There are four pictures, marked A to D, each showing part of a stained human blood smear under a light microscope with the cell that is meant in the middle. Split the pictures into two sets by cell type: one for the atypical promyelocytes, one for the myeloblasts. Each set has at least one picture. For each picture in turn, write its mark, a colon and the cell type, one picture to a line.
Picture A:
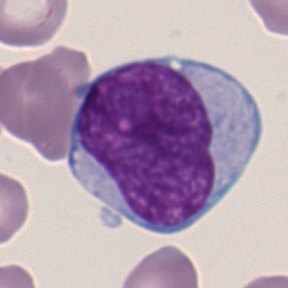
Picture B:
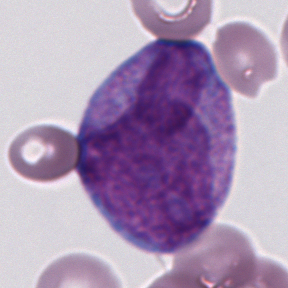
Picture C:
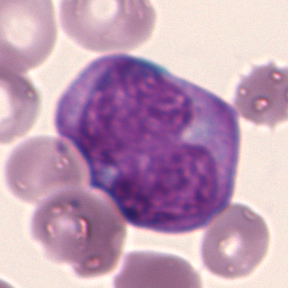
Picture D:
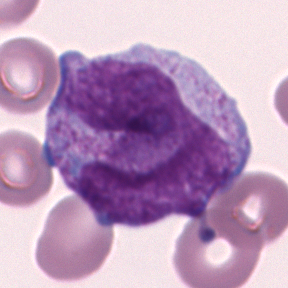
A: myeloblast
B: atypical promyelocyte
C: atypical promyelocyte
D: atypical promyelocyte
